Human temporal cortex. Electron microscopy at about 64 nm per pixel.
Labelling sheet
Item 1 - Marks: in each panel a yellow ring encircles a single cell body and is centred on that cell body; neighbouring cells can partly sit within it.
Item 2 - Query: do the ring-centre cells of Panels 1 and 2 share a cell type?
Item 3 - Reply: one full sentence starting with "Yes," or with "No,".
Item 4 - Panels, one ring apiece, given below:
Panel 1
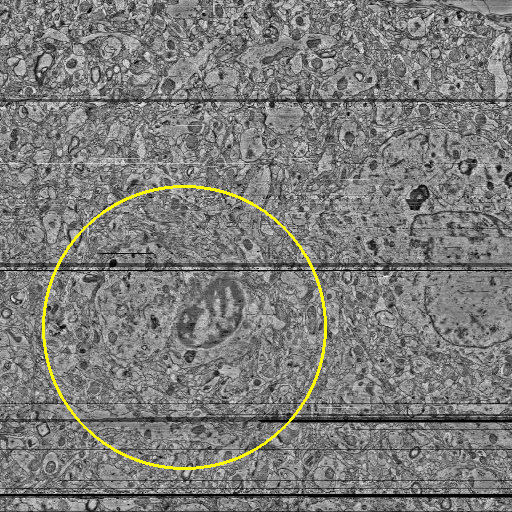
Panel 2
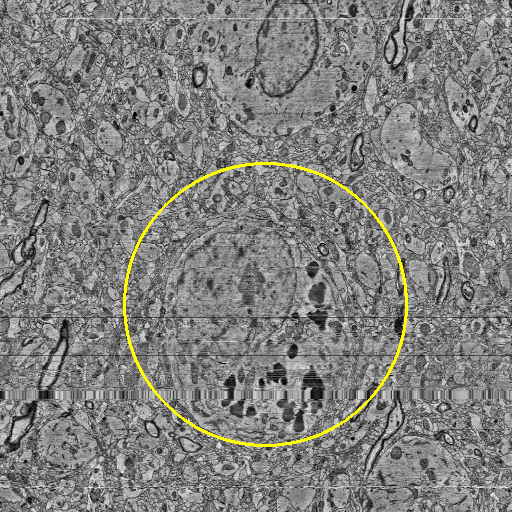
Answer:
No, Panel 1 and Panel 2 show two cell types at the centres of their rings.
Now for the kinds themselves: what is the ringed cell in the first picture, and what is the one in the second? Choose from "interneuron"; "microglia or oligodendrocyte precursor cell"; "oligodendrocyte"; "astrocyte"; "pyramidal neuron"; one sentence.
Here the first cell is a microglial cell or oligodendrocyte precursor cell and the second cell is an interneuron.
